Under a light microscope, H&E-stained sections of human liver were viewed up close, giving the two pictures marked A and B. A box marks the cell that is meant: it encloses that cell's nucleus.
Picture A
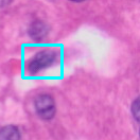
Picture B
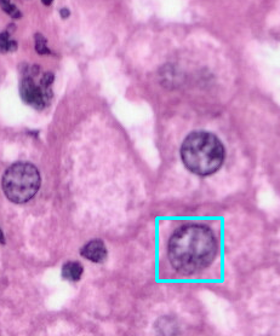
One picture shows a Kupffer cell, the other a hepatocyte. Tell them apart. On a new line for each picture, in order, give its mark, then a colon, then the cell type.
A: Kupffer cell
B: hepatocyte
